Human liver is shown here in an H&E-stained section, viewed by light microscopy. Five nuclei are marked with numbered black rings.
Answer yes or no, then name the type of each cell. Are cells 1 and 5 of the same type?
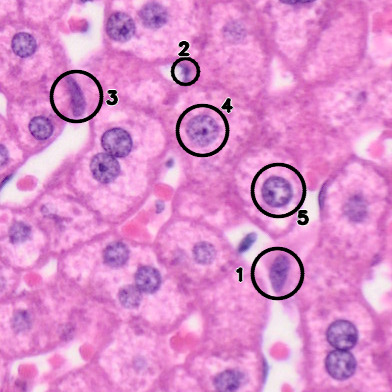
No, the cell bearing number 1 is a Kupffer cell, while the one bearing number 5 is a hepatocyte.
